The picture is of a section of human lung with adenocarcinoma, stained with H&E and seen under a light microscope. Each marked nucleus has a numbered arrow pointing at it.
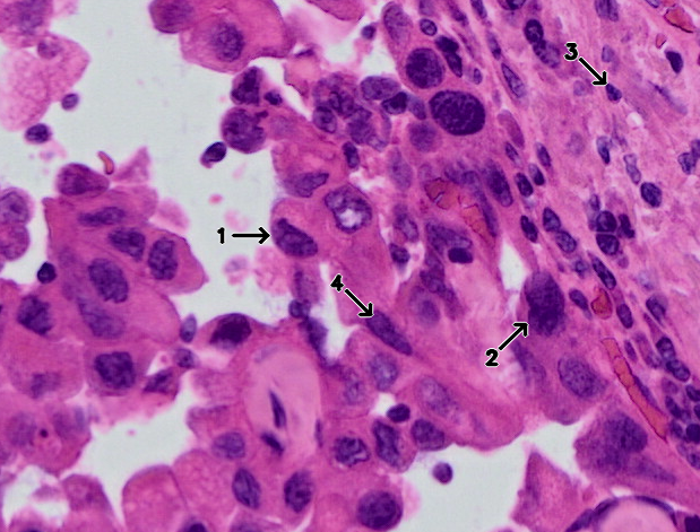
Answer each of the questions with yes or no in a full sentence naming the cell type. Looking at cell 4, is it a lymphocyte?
No, the cell given the number 4 is a carcinoma cell, so not a lymphocyte.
